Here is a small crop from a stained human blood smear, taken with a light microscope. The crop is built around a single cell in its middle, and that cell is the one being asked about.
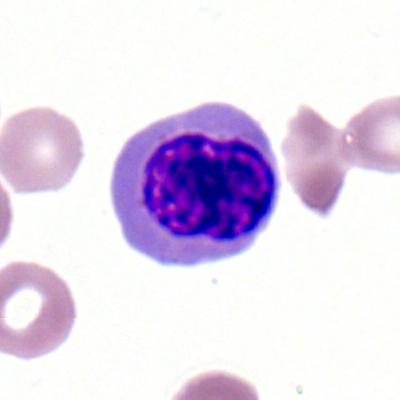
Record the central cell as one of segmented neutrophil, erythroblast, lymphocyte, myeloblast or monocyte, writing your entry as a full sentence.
In the middle of this smear crop is an erythroblast.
